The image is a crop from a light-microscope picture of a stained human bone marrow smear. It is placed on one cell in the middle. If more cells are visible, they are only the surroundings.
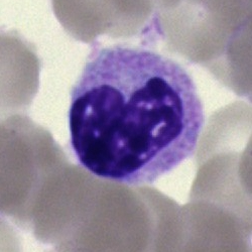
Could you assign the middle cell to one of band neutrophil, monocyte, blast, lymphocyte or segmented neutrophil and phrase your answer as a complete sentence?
Among the cells in view, the one in the middle is a band neutrophil.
